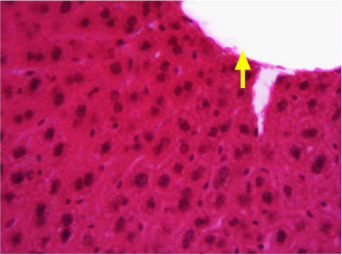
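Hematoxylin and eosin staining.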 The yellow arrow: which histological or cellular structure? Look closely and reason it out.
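Centrilobular vein. The arrow points to the edge of a large empty lumen. Hepatocytes abut the thin-walled lumen.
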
